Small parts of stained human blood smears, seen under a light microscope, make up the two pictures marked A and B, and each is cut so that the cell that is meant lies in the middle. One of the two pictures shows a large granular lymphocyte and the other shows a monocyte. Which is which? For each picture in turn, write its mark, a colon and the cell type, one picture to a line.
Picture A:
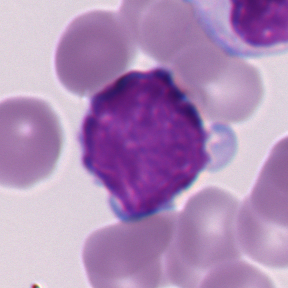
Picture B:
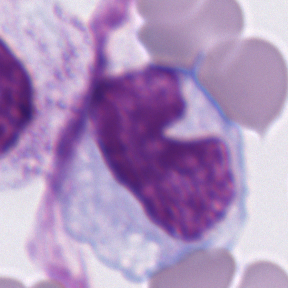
A: large granular lymphocyte
B: monocyte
